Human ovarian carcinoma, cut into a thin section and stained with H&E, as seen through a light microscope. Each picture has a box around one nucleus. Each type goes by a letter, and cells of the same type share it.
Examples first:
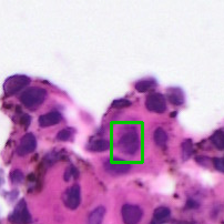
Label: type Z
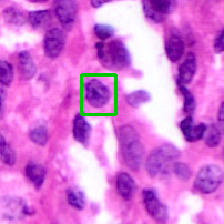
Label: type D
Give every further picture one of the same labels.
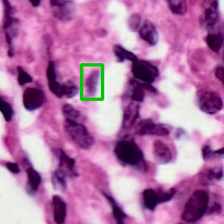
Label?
type D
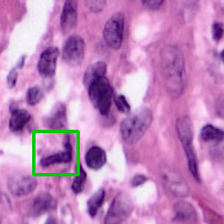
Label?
type D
